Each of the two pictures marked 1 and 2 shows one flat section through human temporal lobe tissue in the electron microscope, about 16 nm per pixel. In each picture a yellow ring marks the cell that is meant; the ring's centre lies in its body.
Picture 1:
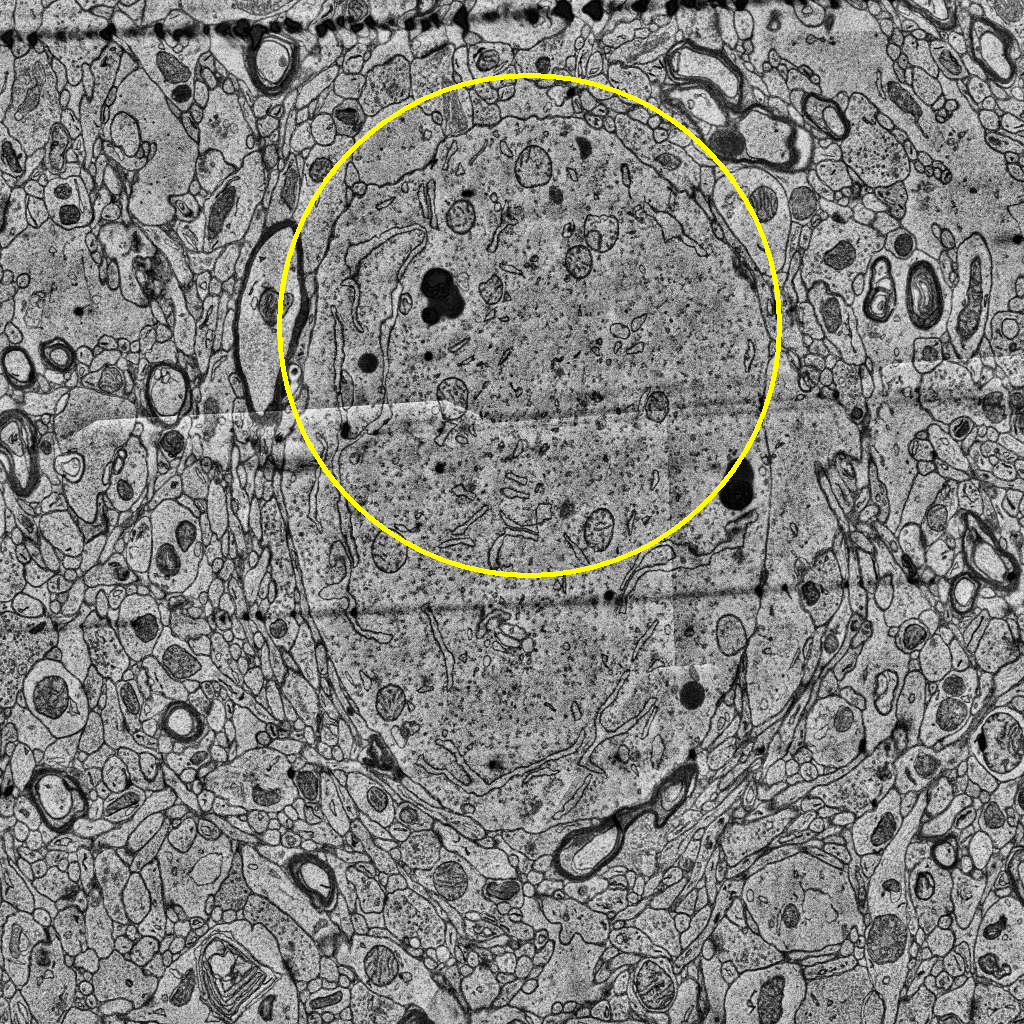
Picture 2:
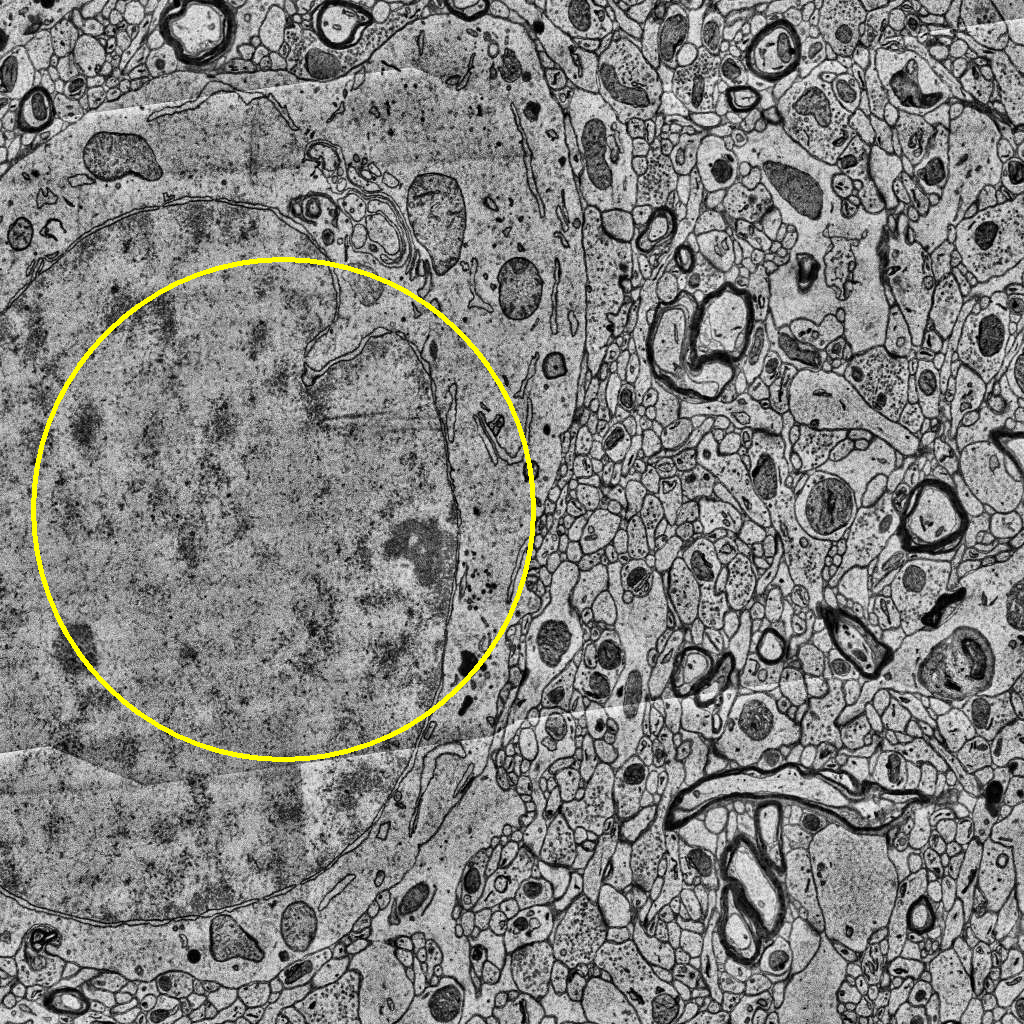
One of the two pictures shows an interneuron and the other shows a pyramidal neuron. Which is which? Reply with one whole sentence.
The cell in picture 1 is a pyramidal neuron, and the one in picture 2 is an interneuron.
